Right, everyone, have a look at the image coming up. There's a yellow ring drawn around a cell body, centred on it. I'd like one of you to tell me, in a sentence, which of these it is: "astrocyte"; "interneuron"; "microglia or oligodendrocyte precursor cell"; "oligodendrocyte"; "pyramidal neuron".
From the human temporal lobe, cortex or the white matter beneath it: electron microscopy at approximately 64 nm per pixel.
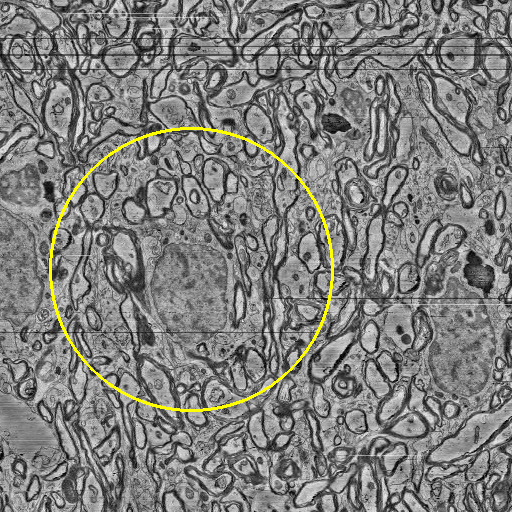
The yellow ring sits on an oligodendrocyte.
